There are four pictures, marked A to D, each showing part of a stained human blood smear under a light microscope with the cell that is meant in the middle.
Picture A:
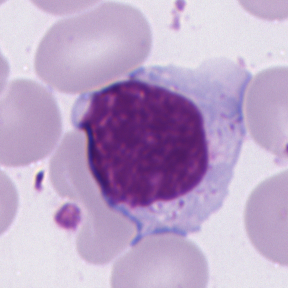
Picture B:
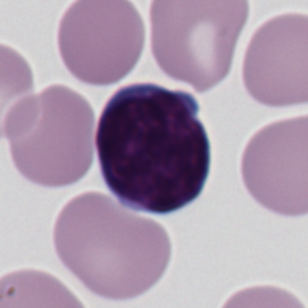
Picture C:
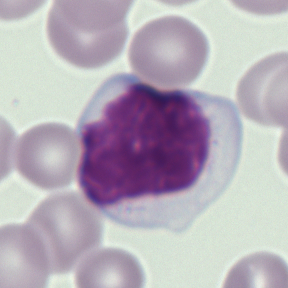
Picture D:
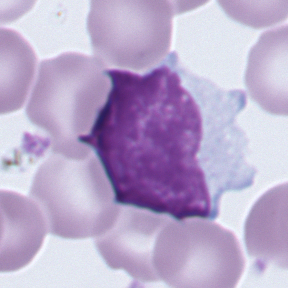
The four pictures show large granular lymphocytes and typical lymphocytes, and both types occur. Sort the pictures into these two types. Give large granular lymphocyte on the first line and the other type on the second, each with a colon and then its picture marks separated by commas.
large granular lymphocyte: A, C
typical lymphocyte: B, D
